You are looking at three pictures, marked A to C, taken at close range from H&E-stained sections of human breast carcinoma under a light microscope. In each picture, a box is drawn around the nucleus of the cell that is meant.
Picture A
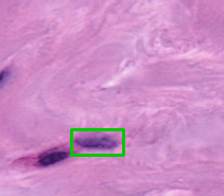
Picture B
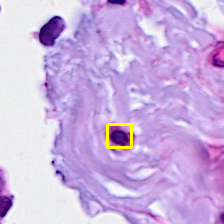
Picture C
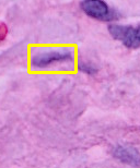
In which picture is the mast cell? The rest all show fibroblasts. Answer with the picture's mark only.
B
